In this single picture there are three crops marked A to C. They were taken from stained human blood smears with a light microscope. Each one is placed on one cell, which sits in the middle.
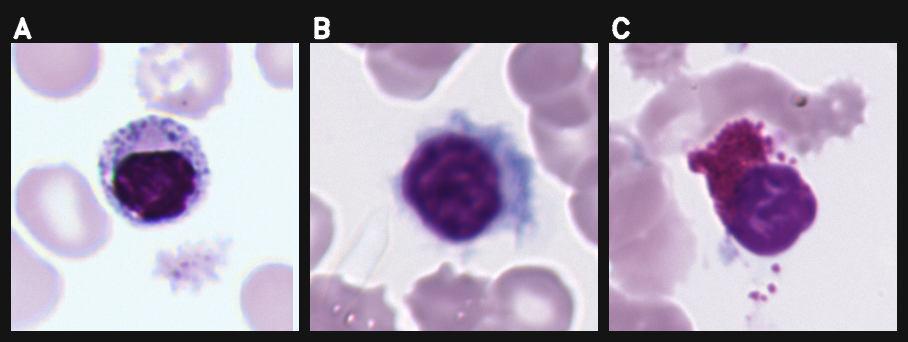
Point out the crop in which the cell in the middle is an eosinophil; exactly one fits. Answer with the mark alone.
C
